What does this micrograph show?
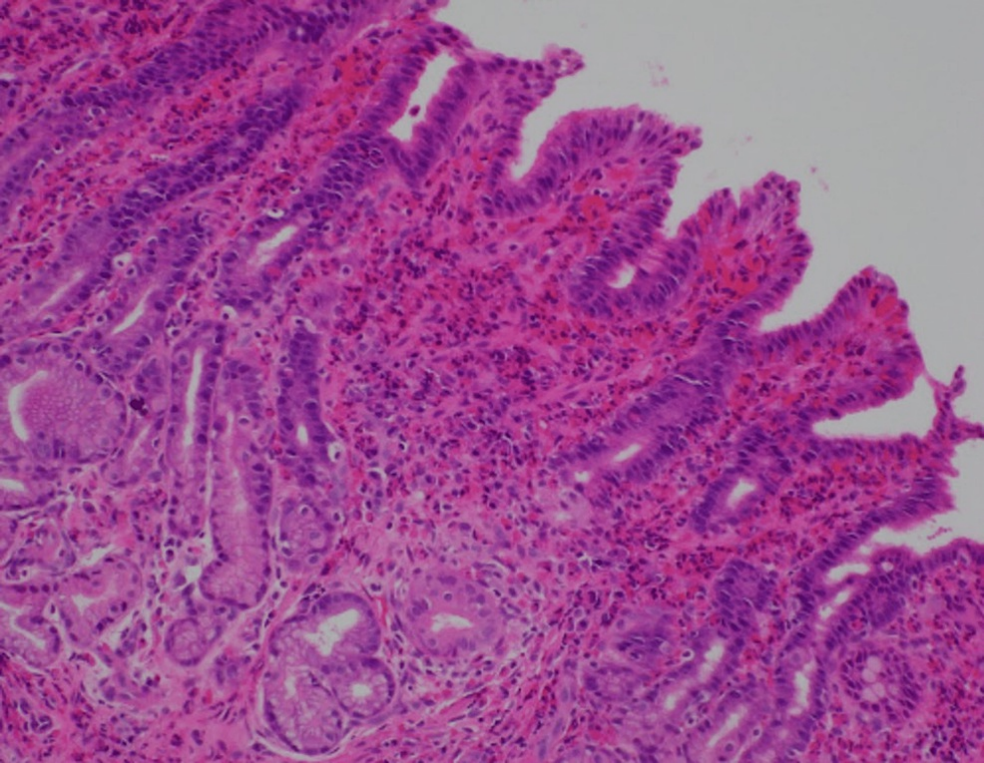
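This is gastric mucosa with a surface and pit epithelium thrown into finger-like folds, overlying glands set in a cellular lamina propria. The lining epithelium is columnar, with crowded, elongated, purple nuclei and little pale mucin at the cell tops, suggesting injury. In the deeper part of the field, at the lower left, rounded glands are lined by cells with paler, foamy or pink cytoplasm. Overall the normal mucosa is expanded by the heavy infiltrate of red-granular cells.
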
